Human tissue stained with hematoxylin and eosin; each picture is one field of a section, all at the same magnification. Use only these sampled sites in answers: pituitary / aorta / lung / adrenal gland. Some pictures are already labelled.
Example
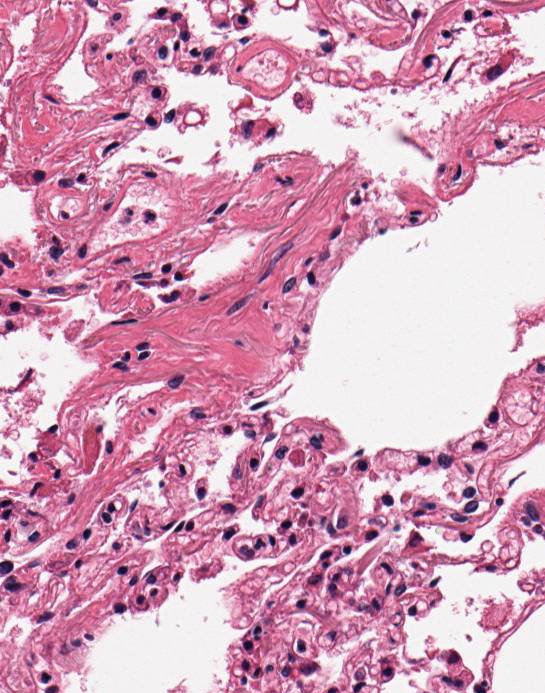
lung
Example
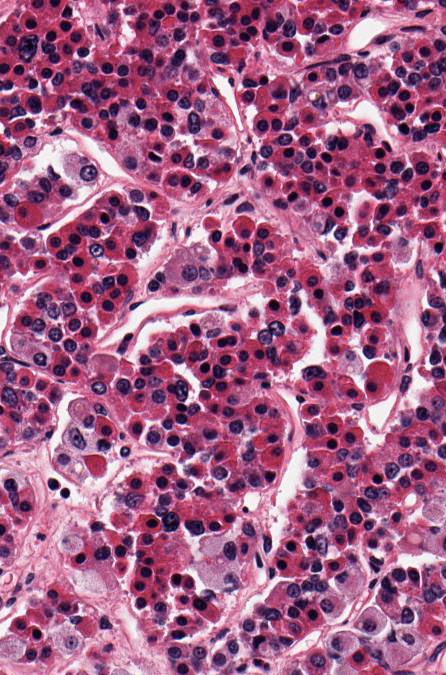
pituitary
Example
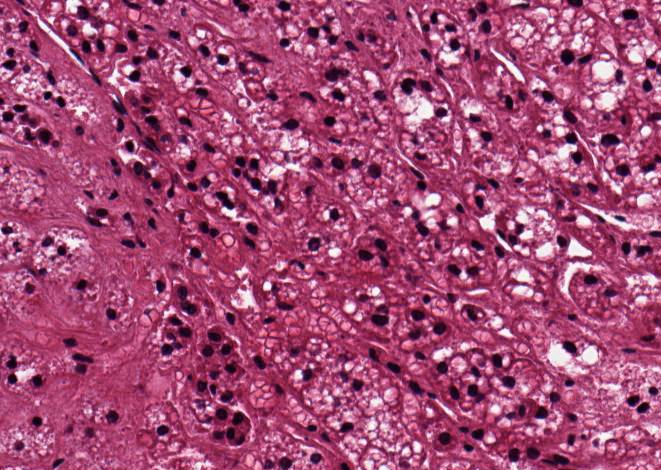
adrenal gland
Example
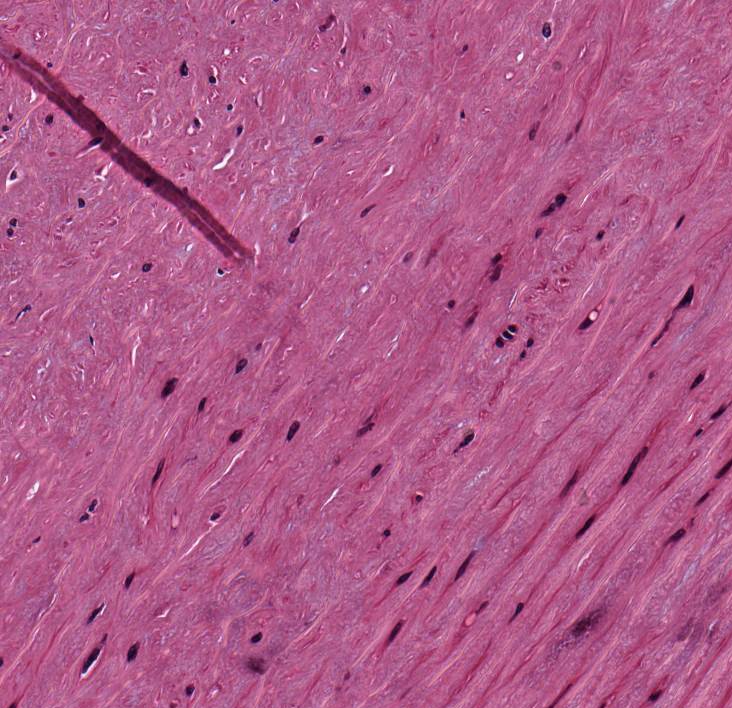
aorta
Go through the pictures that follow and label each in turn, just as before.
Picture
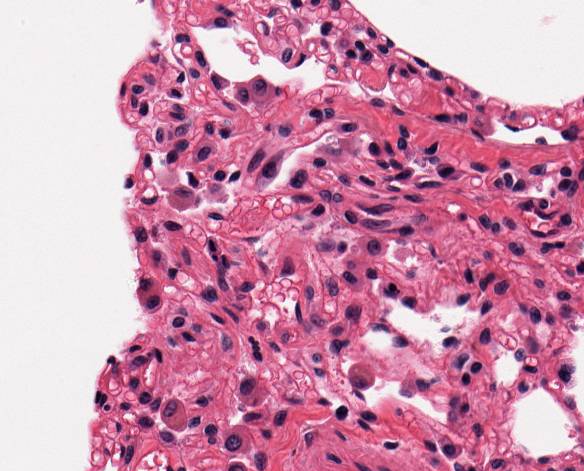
lung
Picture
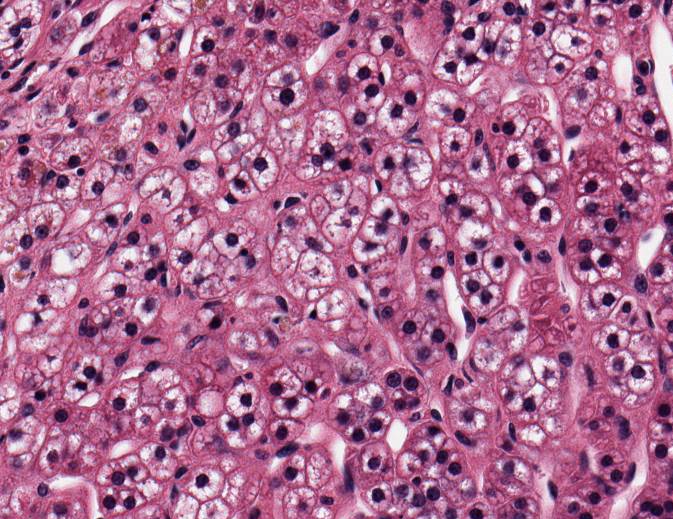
adrenal gland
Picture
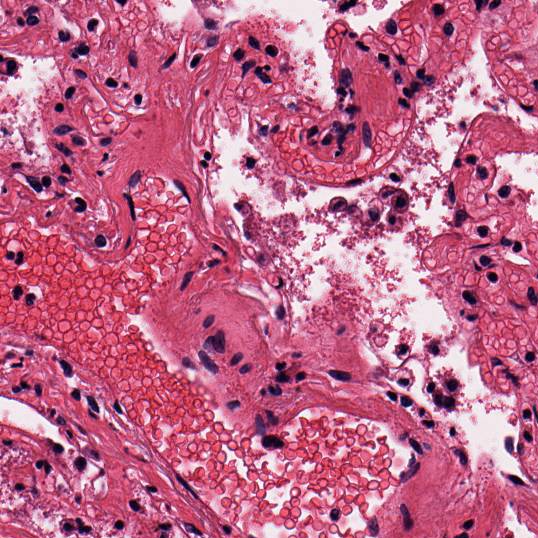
lung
